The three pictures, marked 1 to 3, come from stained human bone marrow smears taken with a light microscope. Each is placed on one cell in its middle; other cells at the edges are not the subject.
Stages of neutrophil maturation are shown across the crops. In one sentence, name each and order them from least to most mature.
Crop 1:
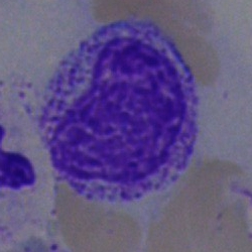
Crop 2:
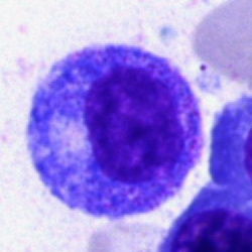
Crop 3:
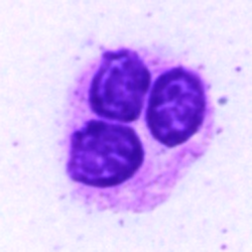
From earliest stage to latest stage, the sequence is crop 2 (a promyelocyte), crop 1 (a myelocyte) and crop 3 (a segmented neutrophil).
